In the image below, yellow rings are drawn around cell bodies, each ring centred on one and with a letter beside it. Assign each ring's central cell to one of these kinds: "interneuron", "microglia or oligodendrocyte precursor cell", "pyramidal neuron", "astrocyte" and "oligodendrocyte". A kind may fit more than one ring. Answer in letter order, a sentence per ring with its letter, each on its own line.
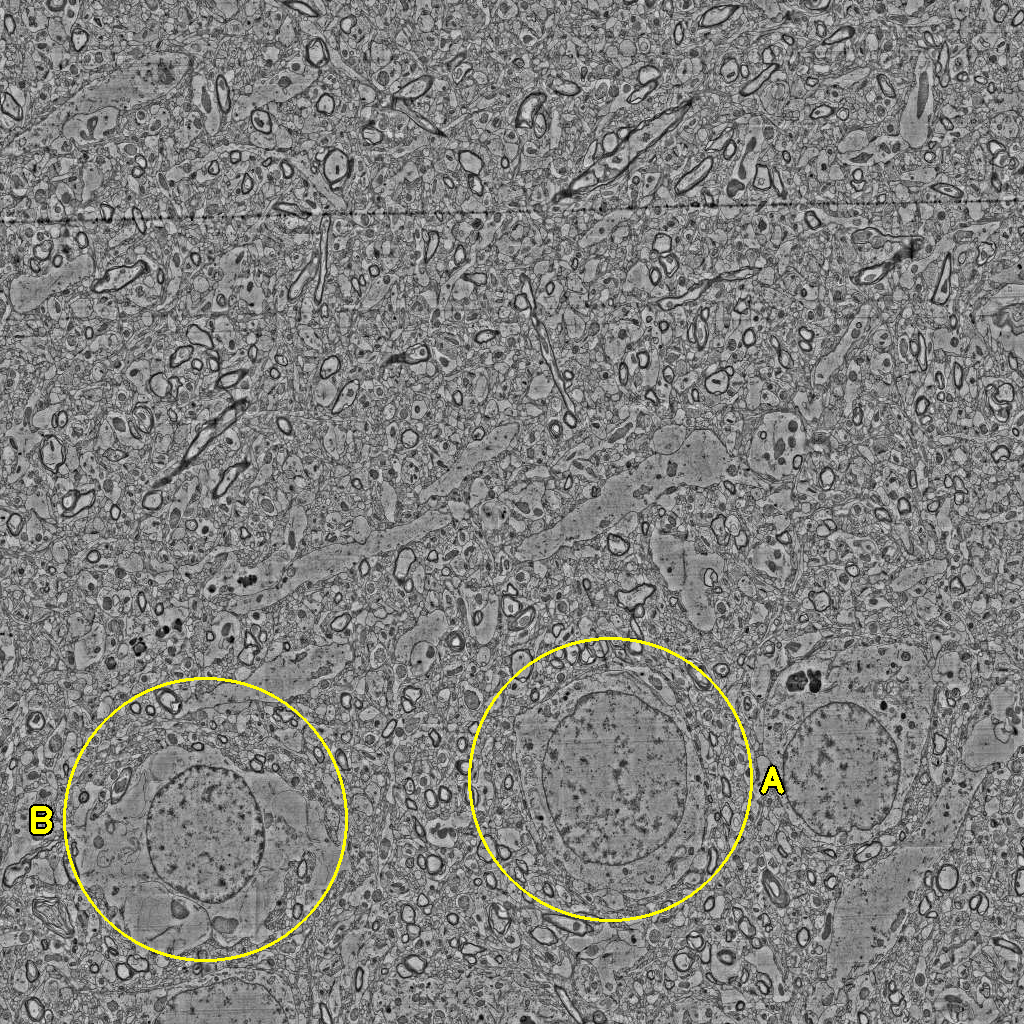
The central cell of ring A is a pyramidal neuron.
The central cell of ring B is an astrocyte.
